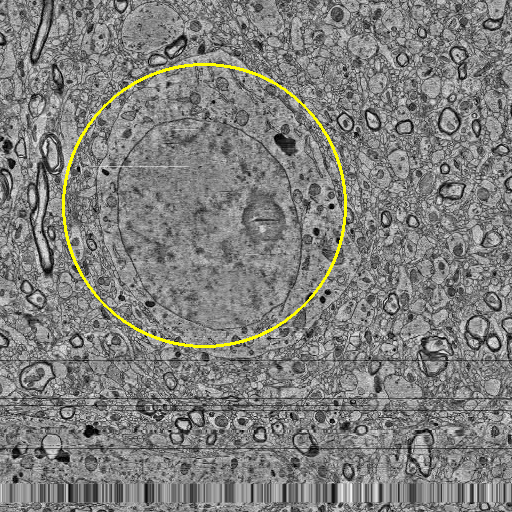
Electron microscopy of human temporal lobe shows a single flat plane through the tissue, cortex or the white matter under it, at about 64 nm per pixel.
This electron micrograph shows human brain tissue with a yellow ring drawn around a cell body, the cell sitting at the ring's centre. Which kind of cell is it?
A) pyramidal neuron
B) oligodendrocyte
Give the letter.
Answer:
A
